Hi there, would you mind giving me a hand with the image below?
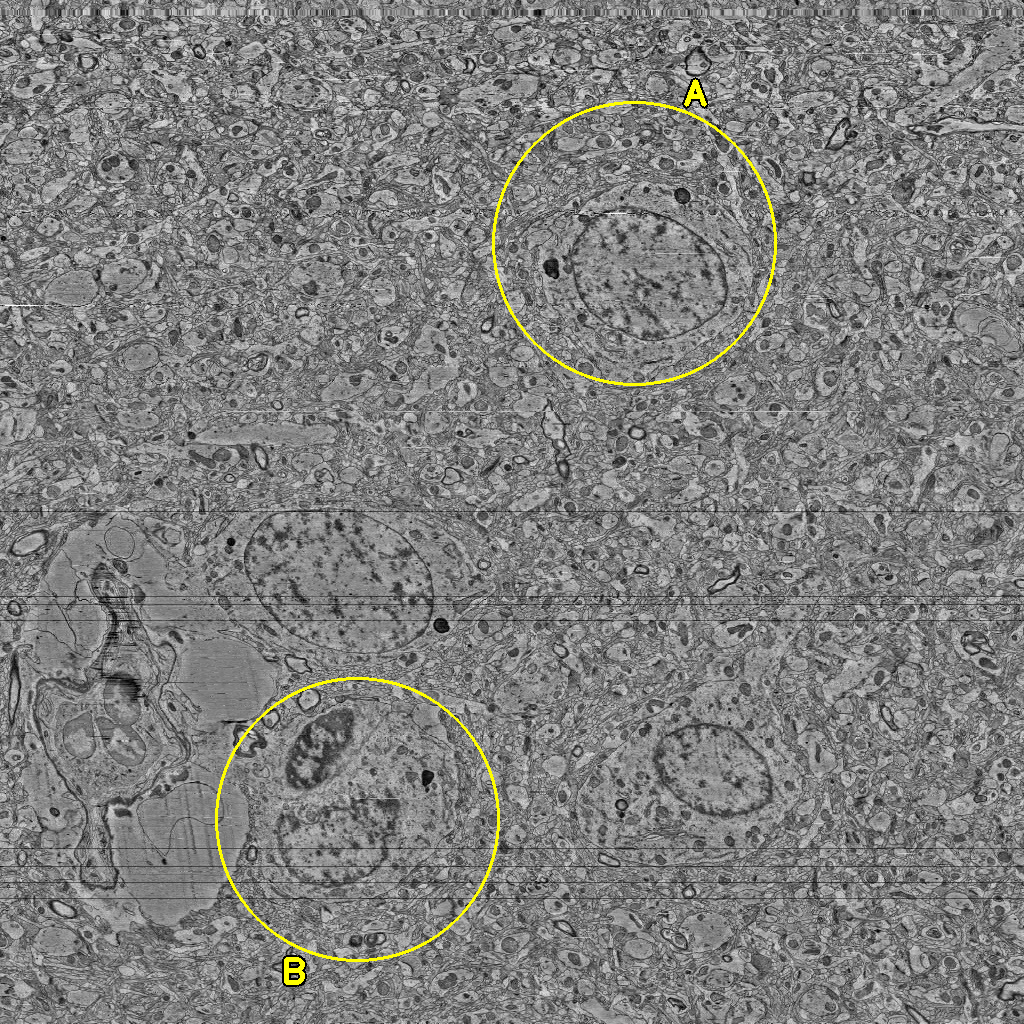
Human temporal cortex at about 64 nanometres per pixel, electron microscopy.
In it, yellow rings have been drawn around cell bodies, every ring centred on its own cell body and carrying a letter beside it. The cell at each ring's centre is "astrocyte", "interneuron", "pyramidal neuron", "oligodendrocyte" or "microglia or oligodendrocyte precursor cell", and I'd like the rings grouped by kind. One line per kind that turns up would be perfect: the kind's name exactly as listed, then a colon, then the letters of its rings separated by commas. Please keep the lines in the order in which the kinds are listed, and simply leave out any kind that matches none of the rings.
interneuron: B
pyramidal neuron: A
